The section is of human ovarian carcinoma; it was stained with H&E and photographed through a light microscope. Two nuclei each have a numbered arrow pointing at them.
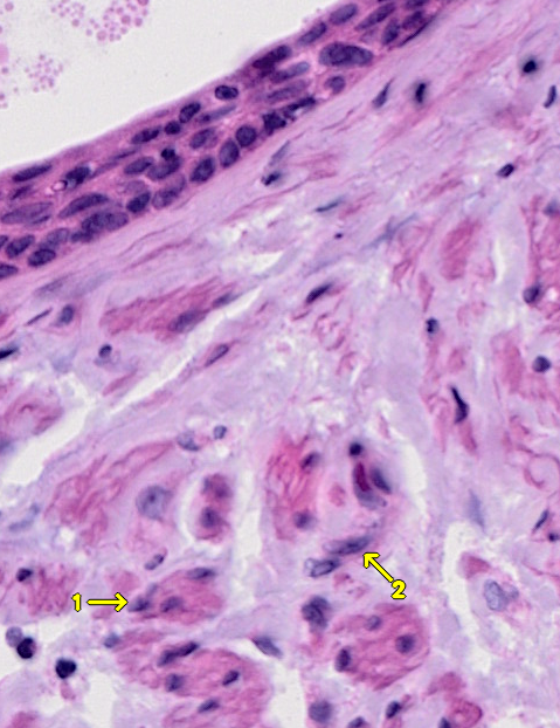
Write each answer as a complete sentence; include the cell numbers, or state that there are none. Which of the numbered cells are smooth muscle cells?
Of the marked cells, the one numbered 1 is a smooth muscle cell and the rest are not.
